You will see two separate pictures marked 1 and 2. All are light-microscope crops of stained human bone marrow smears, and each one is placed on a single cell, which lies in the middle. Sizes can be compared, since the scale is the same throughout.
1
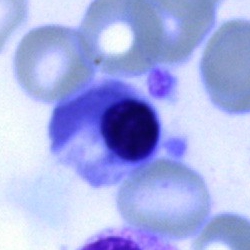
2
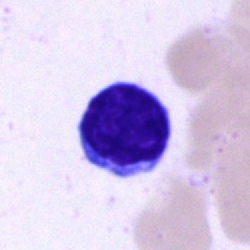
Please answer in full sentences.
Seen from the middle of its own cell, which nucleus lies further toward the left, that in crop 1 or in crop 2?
In crop 2 the nucleus is shifted more toward the left.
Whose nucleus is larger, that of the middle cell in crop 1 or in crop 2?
Crop 2 shows the larger nucleus; it covers about 2 times the area of the nucleus in crop 1.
